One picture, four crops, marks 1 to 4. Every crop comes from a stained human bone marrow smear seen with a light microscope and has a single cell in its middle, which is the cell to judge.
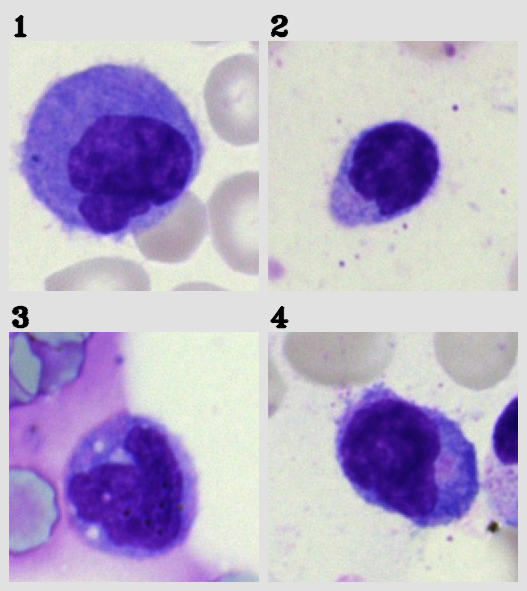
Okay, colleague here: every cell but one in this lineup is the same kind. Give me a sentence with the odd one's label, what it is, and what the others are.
Crop 2 presents a lymphocyte, while monocytes are presented by all other crops.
